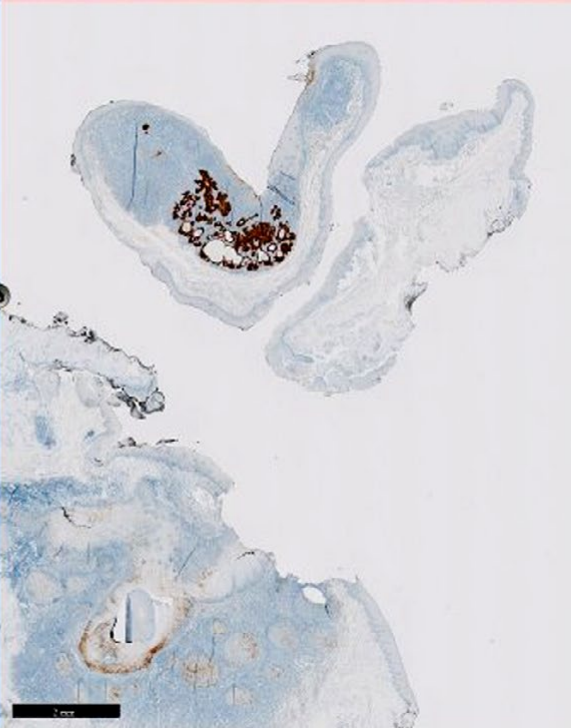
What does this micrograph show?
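The brown area forms a compact cluster of irregular solid nests inside one fragment, interspersed with round clear cystic spaces. The surrounding lymphoid tissue, its surface lining and the connective tissue fragments are blue with little or no brown.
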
